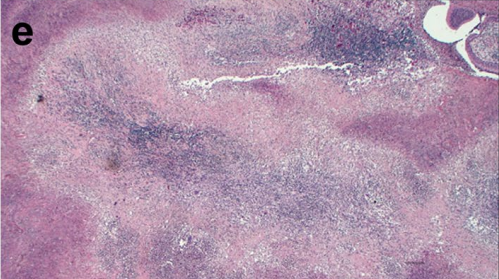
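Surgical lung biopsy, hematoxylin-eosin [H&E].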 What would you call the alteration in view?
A: Geographic necrosis.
